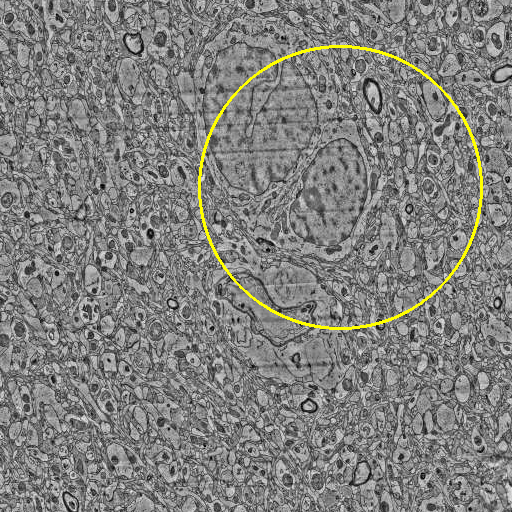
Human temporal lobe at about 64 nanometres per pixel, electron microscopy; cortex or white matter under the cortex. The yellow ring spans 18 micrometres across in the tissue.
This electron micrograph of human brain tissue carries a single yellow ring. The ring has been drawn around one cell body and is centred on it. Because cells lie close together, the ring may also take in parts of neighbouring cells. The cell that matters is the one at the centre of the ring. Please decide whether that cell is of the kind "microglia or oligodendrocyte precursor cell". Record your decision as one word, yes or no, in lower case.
yes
